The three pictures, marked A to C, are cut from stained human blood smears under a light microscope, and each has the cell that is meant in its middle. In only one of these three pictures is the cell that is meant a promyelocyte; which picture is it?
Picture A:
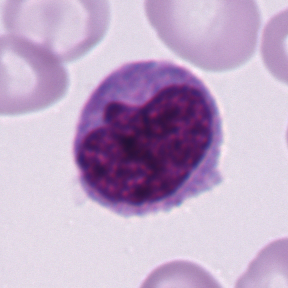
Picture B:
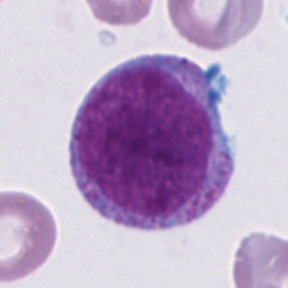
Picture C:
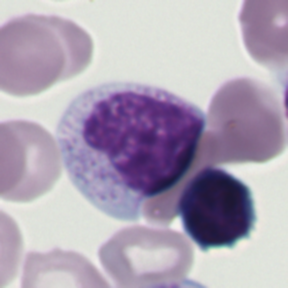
B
